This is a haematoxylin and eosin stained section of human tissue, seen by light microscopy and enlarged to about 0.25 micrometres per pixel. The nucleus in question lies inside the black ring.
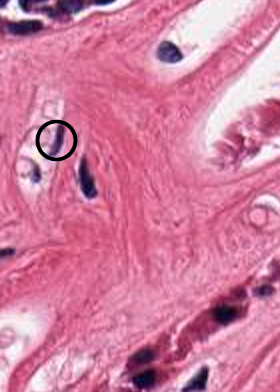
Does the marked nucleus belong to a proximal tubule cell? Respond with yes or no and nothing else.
no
